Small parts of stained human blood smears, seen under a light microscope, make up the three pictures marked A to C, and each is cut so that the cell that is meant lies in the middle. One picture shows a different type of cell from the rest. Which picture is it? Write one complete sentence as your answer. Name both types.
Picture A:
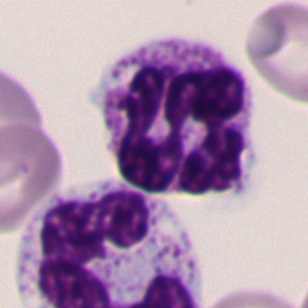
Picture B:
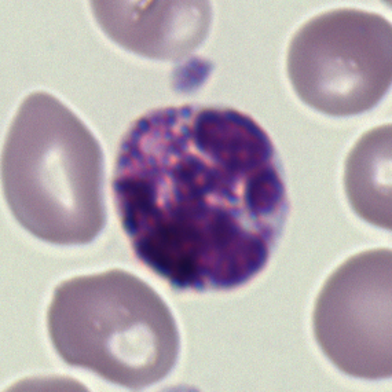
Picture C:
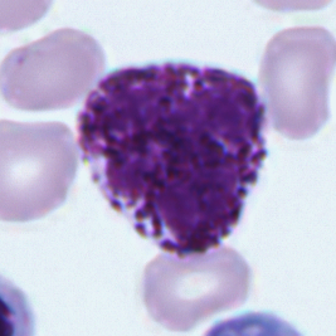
Unlike the rest, which show basophils, picture A shows a segmented neutrophil.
